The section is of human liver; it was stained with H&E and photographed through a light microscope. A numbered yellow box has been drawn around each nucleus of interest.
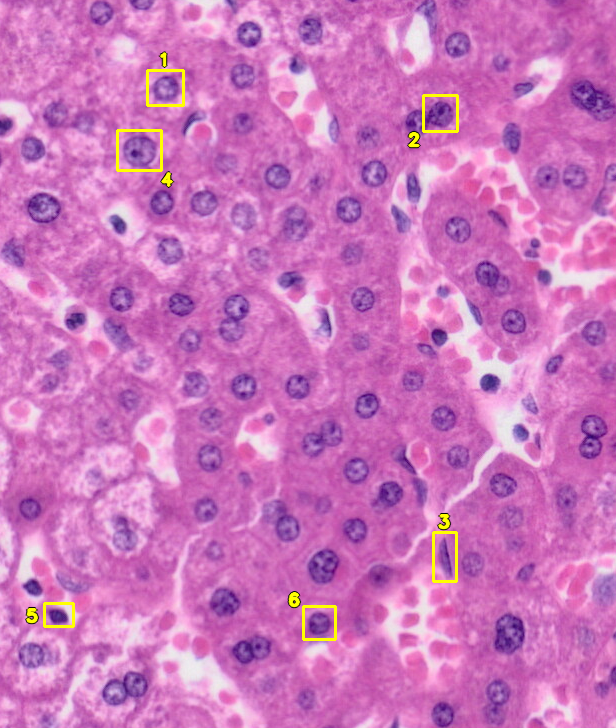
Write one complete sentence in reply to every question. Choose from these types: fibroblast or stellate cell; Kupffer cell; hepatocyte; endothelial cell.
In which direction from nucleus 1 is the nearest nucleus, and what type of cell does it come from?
The nearest nucleus is that of an endothelial cell and lies below and to the right of nucleus 1.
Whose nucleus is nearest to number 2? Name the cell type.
The nucleus nearest to number 2 is that of a hepatocyte.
